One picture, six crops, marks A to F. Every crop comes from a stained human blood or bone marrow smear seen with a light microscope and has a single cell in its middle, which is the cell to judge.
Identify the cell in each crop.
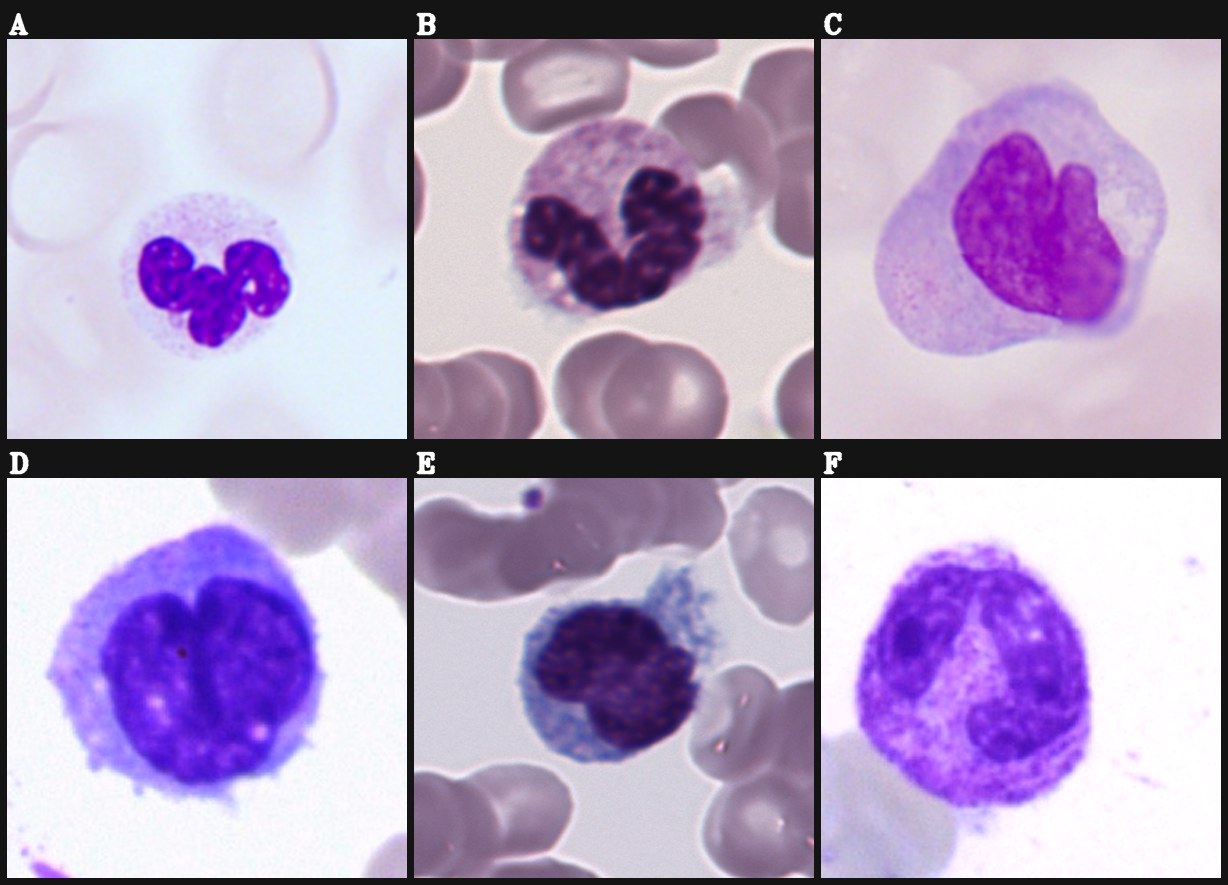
A: neutrophil
B: neutrophil
C: monocyte
D: monocyte
E: monocyte
F: neutrophil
